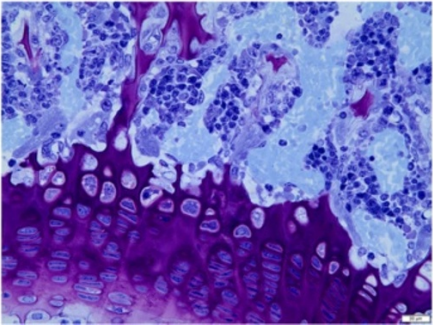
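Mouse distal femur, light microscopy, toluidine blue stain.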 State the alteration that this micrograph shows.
osteoclastic and vascular invasion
